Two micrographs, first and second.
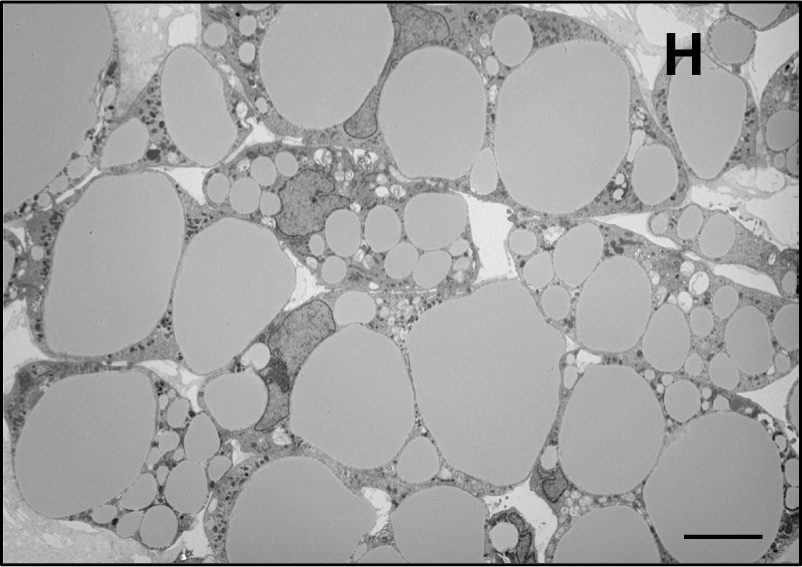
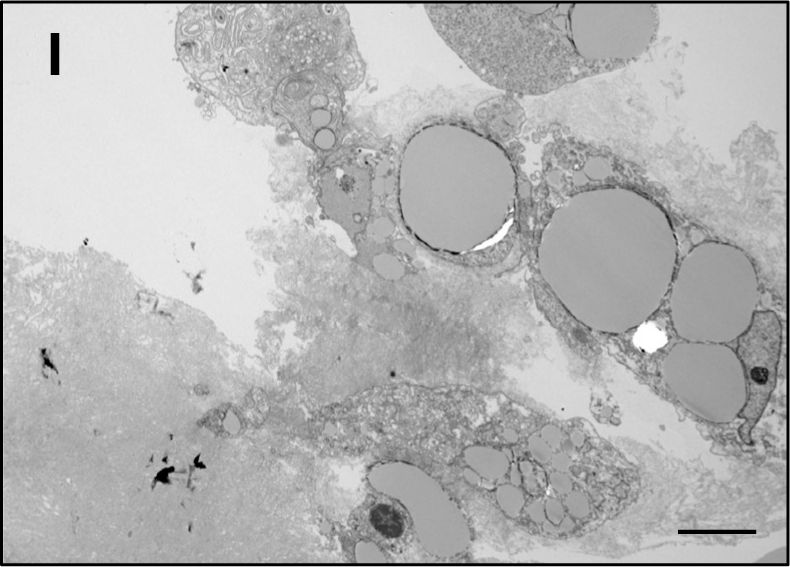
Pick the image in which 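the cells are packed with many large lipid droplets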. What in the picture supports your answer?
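Second image: only a few cells hold a small number of round droplets, with wide spaces of granular material between them. First image: nearly the whole field is filled by numerous round droplets of many sizes inside closely packed cells. On this evidence: the first image.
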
